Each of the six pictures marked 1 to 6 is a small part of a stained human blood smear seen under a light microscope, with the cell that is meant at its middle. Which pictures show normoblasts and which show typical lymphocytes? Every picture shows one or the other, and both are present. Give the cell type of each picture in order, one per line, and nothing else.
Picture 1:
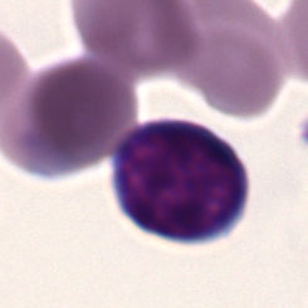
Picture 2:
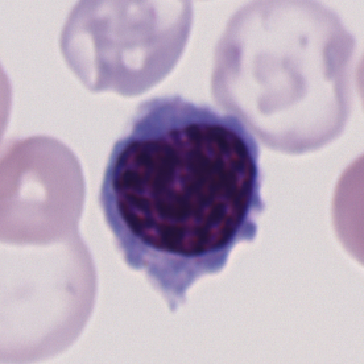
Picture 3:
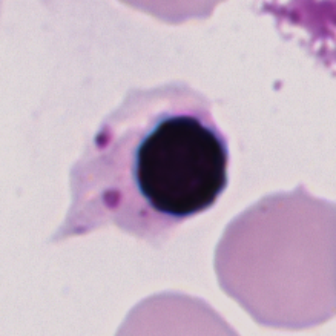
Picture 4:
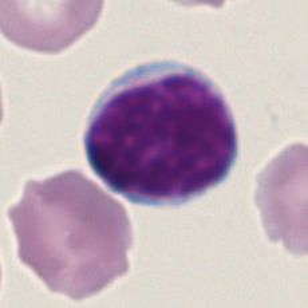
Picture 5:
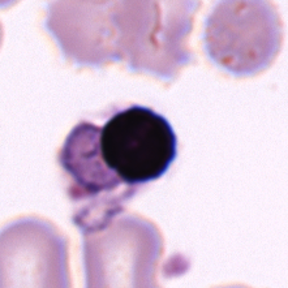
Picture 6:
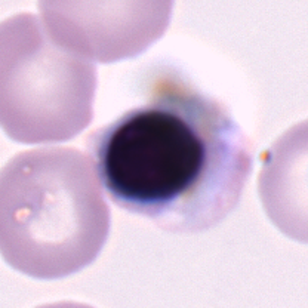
typical lymphocyte
normoblast
normoblast
typical lymphocyte
normoblast
normoblast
